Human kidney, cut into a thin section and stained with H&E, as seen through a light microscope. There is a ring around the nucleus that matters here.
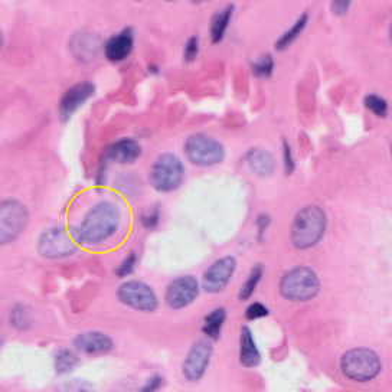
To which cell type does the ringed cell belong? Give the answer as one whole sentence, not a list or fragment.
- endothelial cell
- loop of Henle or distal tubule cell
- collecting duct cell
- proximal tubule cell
The category to which the ringed cell belongs is that of a collecting duct cell.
